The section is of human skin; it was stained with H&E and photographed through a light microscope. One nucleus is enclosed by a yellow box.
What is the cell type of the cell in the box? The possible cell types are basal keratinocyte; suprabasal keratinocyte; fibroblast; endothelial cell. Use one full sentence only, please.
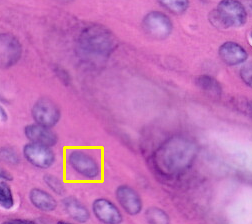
In this section of tissue, the cell in the box is a suprabasal keratinocyte.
